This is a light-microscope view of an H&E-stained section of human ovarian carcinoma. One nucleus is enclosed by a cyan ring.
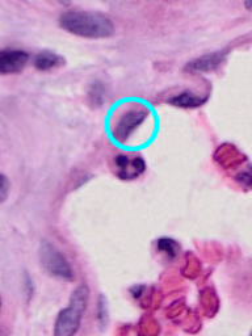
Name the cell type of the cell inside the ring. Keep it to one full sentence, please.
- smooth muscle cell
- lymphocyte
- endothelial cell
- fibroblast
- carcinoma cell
In this tissue section, the cell inside the ring is to be classed as an endothelial cell.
